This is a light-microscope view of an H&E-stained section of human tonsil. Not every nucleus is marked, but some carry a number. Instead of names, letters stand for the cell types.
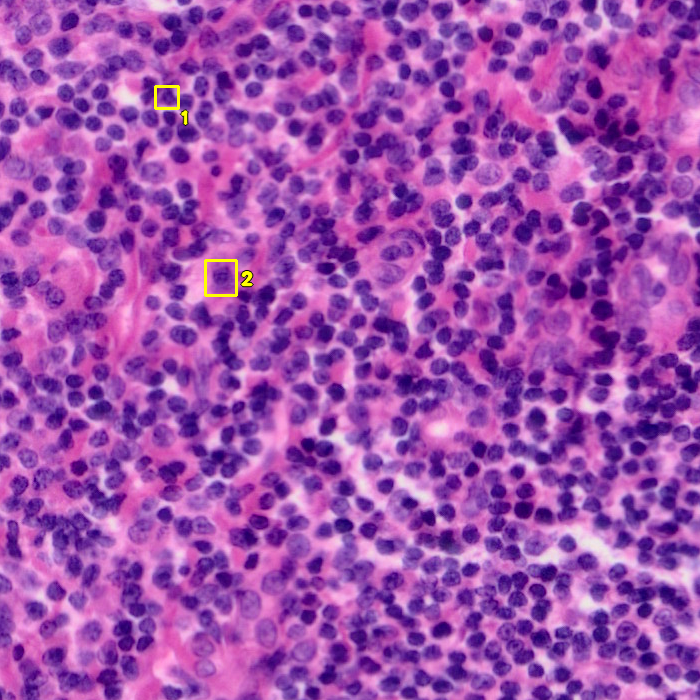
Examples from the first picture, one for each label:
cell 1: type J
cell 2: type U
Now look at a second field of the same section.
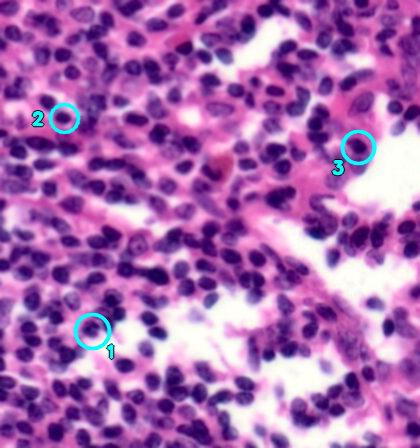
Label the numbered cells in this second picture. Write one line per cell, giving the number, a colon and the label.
1: type J
2: type J
3: type U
